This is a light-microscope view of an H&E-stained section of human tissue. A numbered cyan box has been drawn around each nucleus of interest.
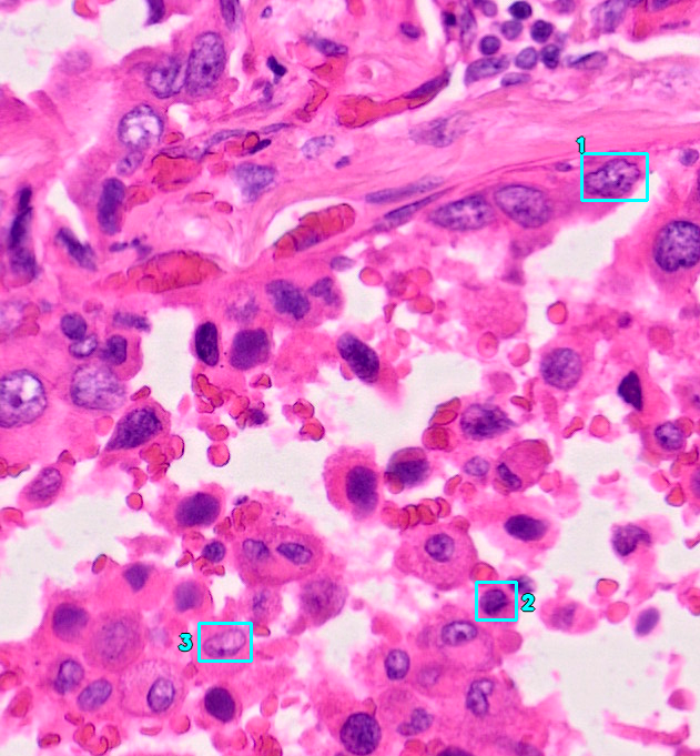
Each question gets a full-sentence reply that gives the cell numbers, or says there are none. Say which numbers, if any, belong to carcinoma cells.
Cell 1 alone, of all the numbered cells, is a carcinoma cell.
